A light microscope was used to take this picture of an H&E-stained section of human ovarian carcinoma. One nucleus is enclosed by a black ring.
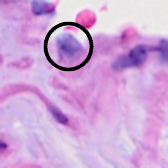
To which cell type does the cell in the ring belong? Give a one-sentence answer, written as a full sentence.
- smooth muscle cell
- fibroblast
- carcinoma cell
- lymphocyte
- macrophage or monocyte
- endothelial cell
Within the stained tissue, the cell in the ring is an endothelial cell.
